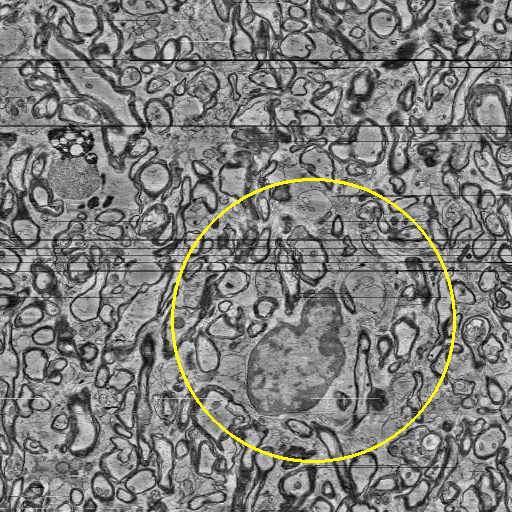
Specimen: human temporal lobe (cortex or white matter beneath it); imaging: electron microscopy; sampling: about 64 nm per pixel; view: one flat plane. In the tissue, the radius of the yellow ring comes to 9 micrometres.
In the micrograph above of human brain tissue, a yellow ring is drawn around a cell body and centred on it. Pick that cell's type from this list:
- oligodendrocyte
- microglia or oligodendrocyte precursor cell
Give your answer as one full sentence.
Going by the list, a microglial cell or oligodendrocyte precursor cell is the cell on which the yellow ring is centred.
